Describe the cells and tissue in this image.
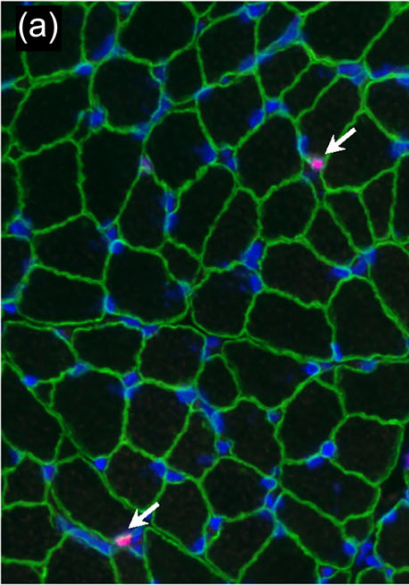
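This is a cross-section of skeletal muscle in which polygonal muscle fibres are packed closely together, each outlined by a thin green rim of sarcolemma around a dark interior. Blue nuclei lie at the edges of the fibres and in the narrow spaces between them, rather than in the fibre centres. The fibres vary somewhat in size and shape, with rounded to angular profiles.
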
